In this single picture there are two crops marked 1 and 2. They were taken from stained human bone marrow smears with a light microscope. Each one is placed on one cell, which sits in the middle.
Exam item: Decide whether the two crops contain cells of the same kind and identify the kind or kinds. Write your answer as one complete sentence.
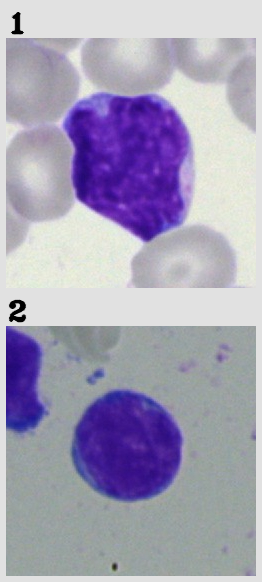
Yes, the cells at the middle of both crops are blasts.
